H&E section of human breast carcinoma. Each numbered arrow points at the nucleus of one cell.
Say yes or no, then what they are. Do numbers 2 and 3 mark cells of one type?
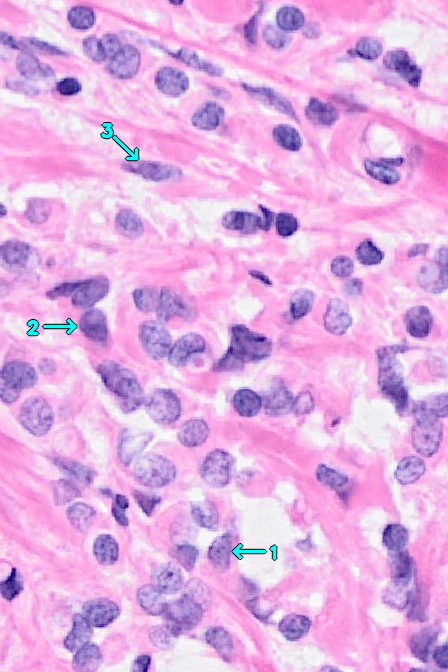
No, the proper labels are a carcinoma cell for cell 2 and a fibroblast for cell 3.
